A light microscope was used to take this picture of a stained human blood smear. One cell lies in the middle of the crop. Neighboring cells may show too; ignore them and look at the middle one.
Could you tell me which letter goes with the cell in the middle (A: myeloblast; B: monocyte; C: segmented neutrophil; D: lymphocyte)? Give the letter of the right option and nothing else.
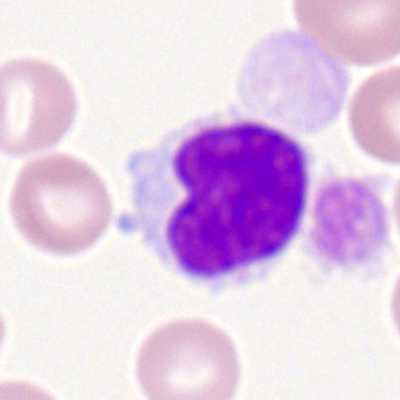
D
